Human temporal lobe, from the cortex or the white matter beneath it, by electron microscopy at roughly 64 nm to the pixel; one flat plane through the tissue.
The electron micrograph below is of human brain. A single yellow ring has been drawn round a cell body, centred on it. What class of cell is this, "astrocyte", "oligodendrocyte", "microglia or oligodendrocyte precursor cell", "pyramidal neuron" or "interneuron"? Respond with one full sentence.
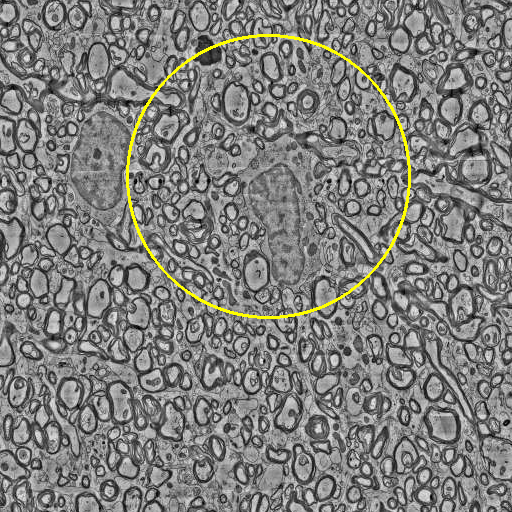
In the micrograph, the cell centred inside the yellow ring is an oligodendrocyte.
